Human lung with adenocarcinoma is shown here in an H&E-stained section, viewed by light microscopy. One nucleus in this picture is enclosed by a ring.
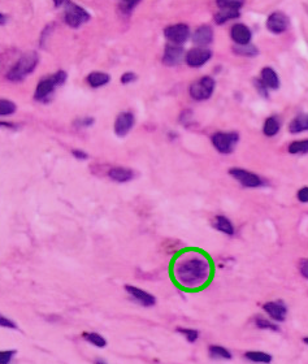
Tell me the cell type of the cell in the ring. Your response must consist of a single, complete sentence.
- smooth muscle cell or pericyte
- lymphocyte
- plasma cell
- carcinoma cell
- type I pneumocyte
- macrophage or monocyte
Within this tissue, the cell in the ring is a plasma cell.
